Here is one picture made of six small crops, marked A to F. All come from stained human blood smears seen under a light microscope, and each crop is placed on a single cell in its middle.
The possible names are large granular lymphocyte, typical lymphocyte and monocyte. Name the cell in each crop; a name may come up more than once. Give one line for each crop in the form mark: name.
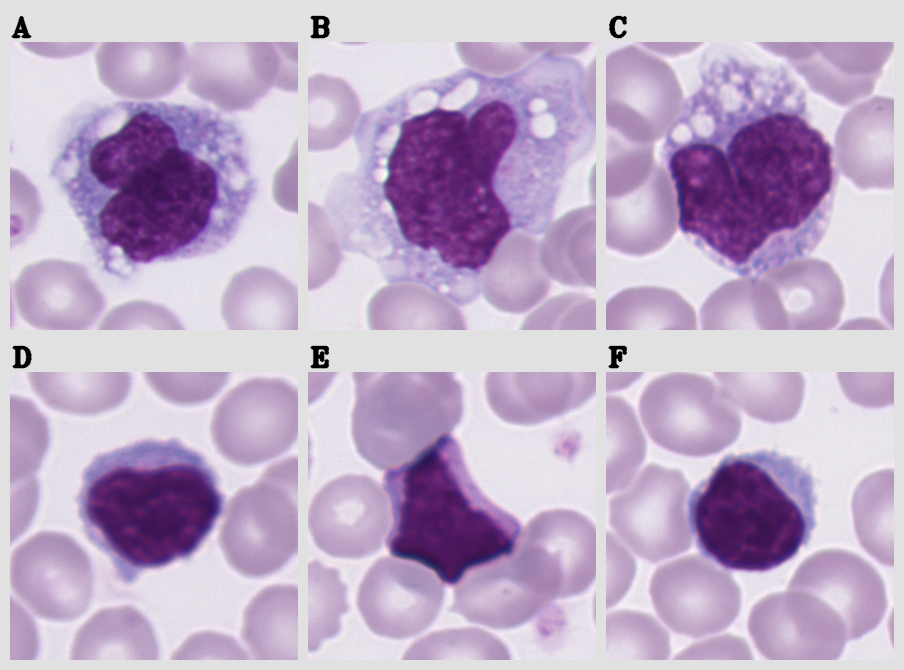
A: monocyte
B: monocyte
C: monocyte
D: typical lymphocyte
E: typical lymphocyte
F: typical lymphocyte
